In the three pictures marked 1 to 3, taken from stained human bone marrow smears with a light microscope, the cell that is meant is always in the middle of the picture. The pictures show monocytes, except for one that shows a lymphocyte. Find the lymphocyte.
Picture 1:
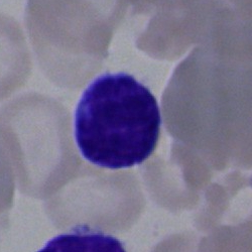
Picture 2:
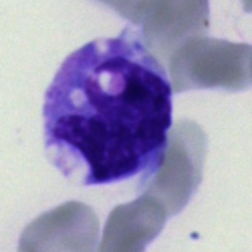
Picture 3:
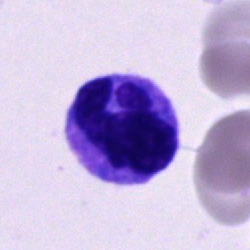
1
